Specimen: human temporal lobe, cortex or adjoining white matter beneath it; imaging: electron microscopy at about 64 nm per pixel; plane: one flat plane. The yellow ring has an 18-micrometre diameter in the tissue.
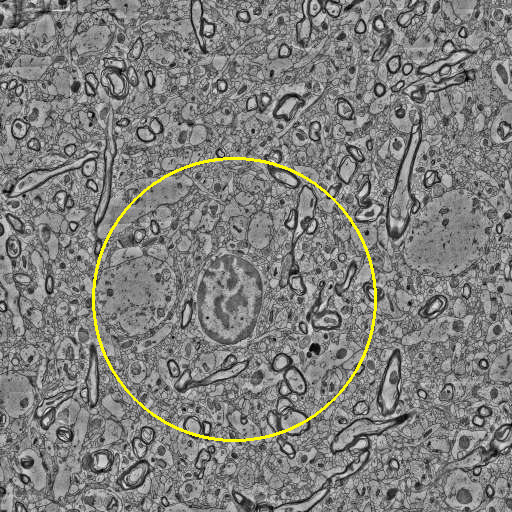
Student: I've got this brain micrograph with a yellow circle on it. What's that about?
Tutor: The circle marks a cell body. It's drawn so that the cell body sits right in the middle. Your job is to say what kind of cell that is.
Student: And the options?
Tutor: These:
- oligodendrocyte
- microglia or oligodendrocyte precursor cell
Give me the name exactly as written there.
microglia or oligodendrocyte precursor cell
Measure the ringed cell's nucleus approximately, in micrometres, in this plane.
About 5 by 4 micrometers for the nucleus, in this plane.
